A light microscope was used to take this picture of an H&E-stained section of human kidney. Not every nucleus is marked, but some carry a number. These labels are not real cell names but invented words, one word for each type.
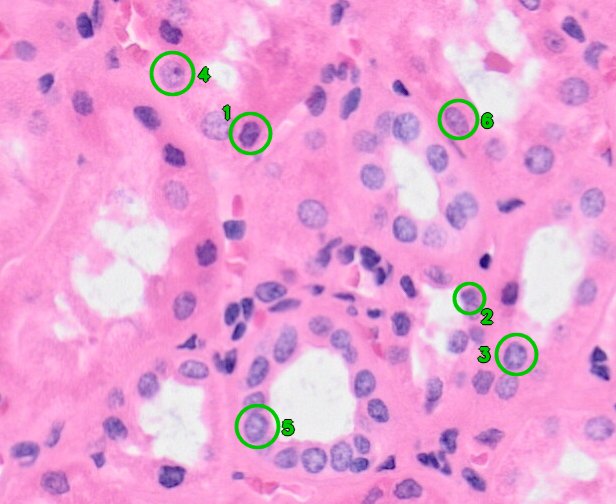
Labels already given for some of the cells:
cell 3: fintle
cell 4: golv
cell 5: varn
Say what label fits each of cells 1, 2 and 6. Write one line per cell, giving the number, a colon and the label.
1: golv
2: fintle
6: golv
